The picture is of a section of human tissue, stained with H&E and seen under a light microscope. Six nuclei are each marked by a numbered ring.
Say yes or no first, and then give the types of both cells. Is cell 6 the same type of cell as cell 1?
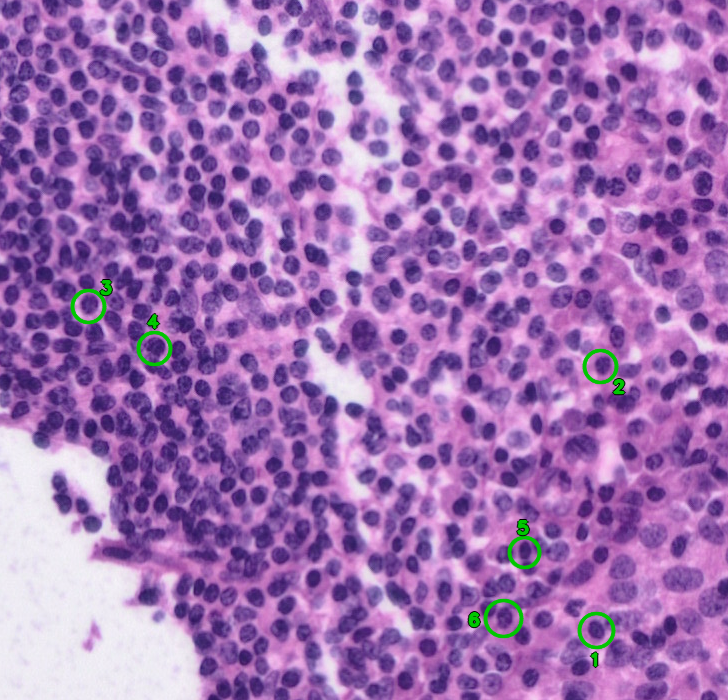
Yes, the cell marked 6 and the cell marked 1 are both plasma cells.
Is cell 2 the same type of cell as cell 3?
No, cell 2 is a plasma cell; as for cell 3, that one is a small lymphocyte.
